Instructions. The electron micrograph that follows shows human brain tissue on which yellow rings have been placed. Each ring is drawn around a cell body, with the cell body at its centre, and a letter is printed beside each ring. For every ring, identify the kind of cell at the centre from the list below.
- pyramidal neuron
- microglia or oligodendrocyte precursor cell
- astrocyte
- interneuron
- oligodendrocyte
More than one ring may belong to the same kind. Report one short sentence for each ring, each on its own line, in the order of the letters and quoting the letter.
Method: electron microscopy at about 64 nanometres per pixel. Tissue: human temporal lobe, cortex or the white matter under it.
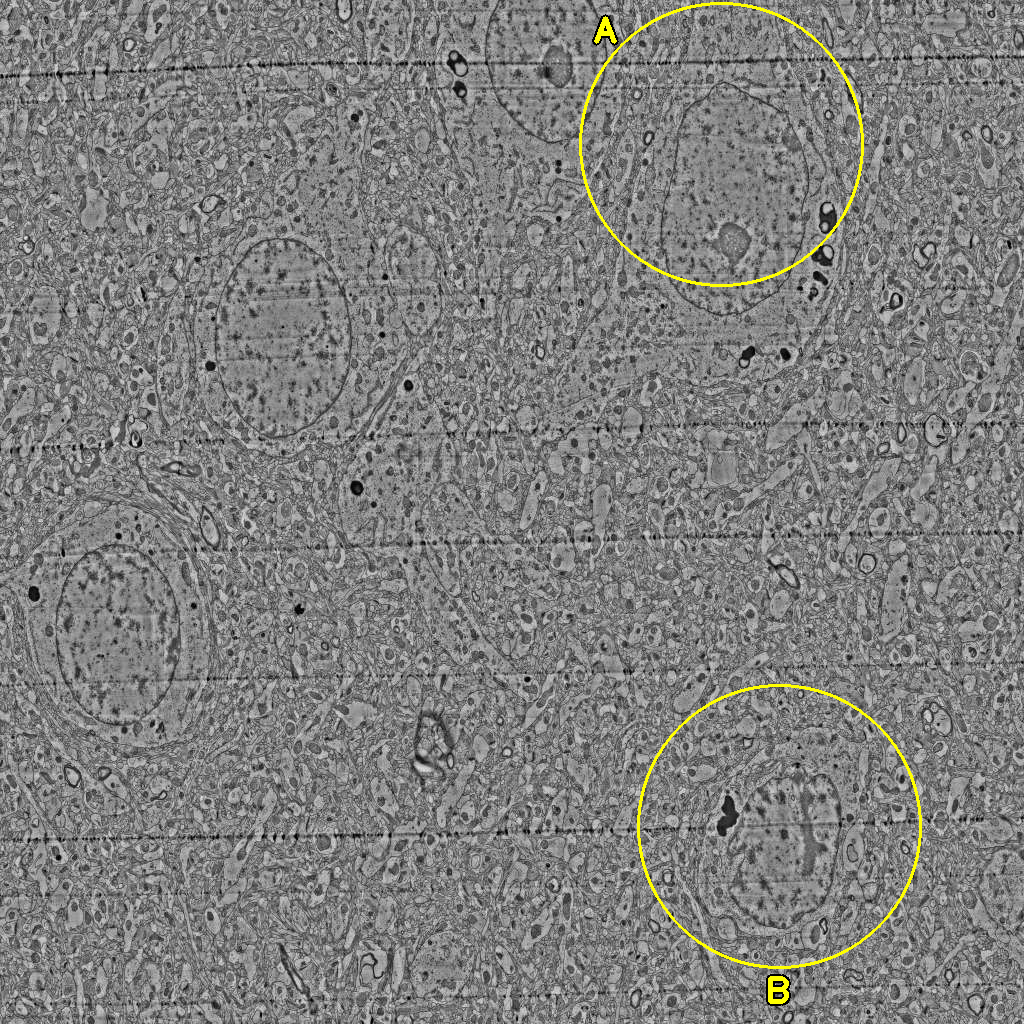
The centre of ring A is occupied by a pyramidal neuron.
The centre of ring B is occupied by an interneuron.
